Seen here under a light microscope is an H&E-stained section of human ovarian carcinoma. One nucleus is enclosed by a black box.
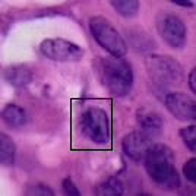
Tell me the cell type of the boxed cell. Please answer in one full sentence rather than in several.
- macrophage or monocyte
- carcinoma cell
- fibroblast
As to its cell type, the boxed cell is a macrophage or monocyte.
